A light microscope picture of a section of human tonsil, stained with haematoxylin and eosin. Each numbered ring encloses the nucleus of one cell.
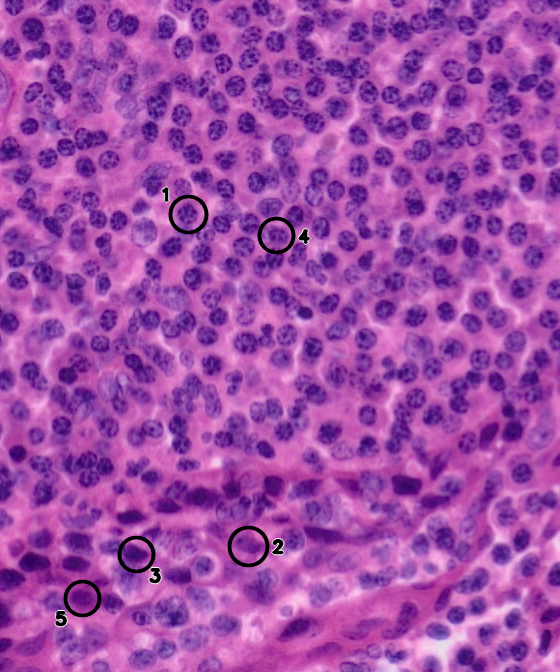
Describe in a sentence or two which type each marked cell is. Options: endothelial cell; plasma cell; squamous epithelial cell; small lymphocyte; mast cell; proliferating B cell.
Cells 1 and 4 are plasma cells. Cells 2, 3 and 5 are squamous epithelial cells.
